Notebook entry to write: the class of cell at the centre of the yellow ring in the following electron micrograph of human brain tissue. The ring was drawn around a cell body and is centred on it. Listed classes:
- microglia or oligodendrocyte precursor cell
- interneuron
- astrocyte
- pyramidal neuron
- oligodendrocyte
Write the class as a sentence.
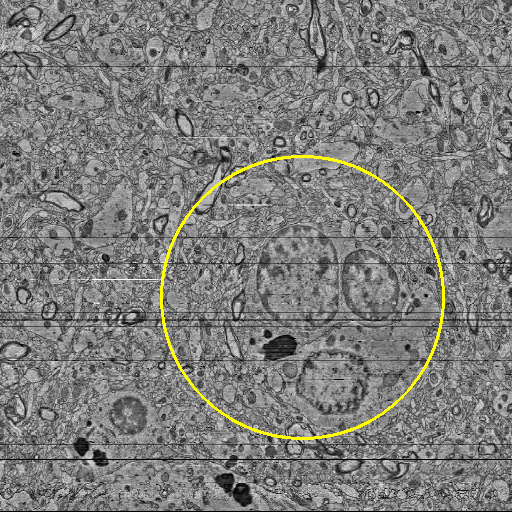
The yellow ring sits on an oligodendrocyte.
